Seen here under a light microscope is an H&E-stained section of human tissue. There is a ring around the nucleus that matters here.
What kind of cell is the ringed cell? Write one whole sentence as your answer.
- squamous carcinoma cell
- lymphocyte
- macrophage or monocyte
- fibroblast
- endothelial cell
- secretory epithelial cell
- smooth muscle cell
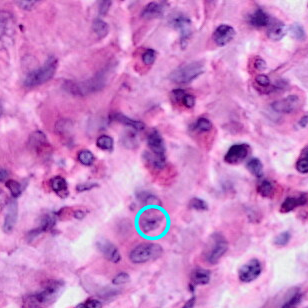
Labelled by cell type, the ringed cell is an endothelial cell.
